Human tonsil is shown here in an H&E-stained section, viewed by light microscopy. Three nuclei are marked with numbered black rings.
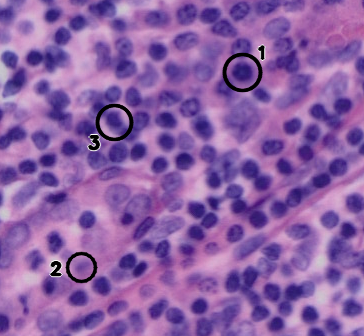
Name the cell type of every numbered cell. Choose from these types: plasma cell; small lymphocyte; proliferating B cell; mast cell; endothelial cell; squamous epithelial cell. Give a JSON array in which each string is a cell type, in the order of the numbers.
["plasma cell", "endothelial cell", "small lymphocyte"]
